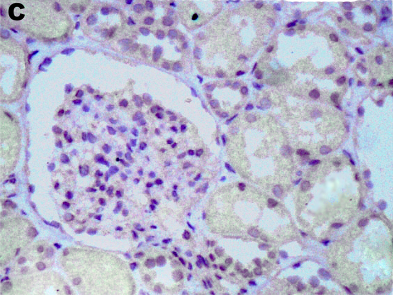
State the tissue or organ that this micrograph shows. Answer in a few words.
glomerulus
